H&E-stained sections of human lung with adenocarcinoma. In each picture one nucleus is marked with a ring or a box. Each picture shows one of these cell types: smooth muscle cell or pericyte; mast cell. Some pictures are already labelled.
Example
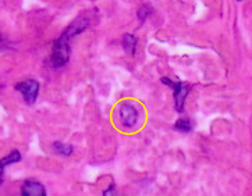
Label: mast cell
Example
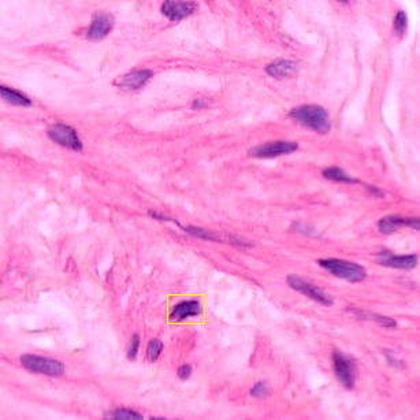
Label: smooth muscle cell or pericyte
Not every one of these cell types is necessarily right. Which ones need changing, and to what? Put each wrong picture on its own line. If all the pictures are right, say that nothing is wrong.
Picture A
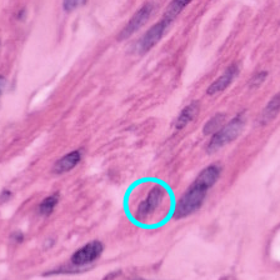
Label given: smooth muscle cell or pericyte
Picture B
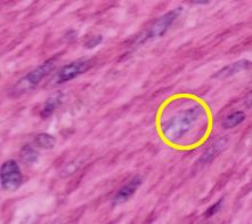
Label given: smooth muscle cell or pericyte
All correct.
